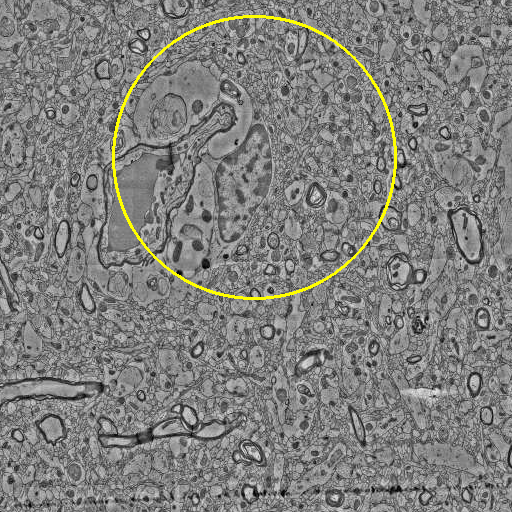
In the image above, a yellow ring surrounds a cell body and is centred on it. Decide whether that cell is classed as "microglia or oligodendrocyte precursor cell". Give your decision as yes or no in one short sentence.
Yes, it is classed as that kind.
